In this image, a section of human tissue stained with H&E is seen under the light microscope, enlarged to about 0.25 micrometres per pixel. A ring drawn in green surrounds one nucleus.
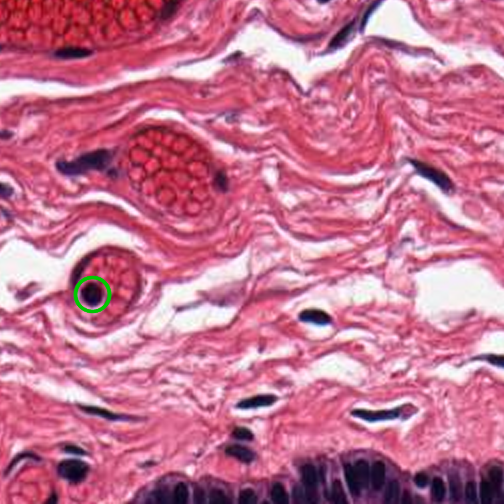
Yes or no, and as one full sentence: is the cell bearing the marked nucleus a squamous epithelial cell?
No, a supporting cell rather than a squamous epithelial cell is the cell of the marked nucleus.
